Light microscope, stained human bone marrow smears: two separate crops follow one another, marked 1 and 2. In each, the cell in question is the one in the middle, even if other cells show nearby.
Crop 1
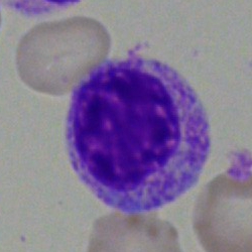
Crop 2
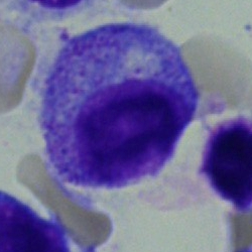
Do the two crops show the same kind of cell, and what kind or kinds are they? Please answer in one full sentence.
Yes, as an answer for this item, both crops show myelocytes.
